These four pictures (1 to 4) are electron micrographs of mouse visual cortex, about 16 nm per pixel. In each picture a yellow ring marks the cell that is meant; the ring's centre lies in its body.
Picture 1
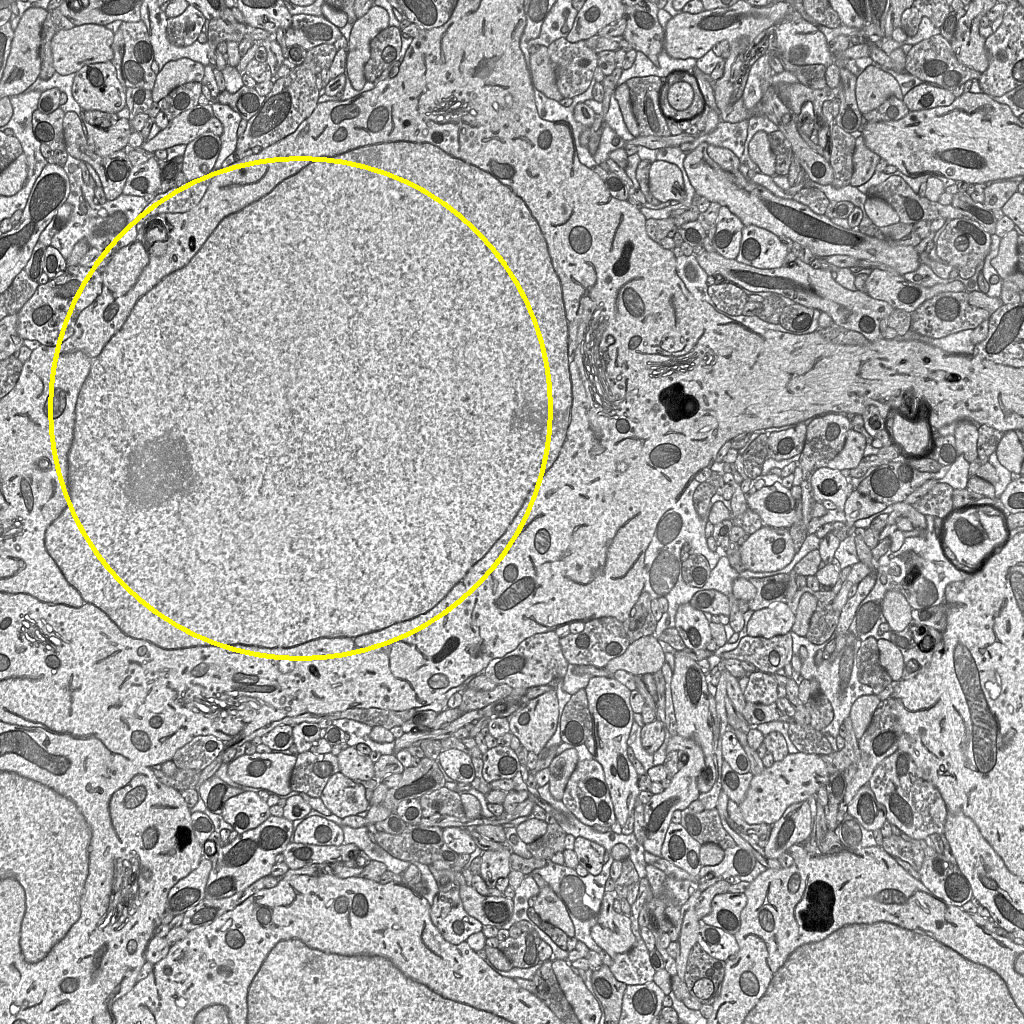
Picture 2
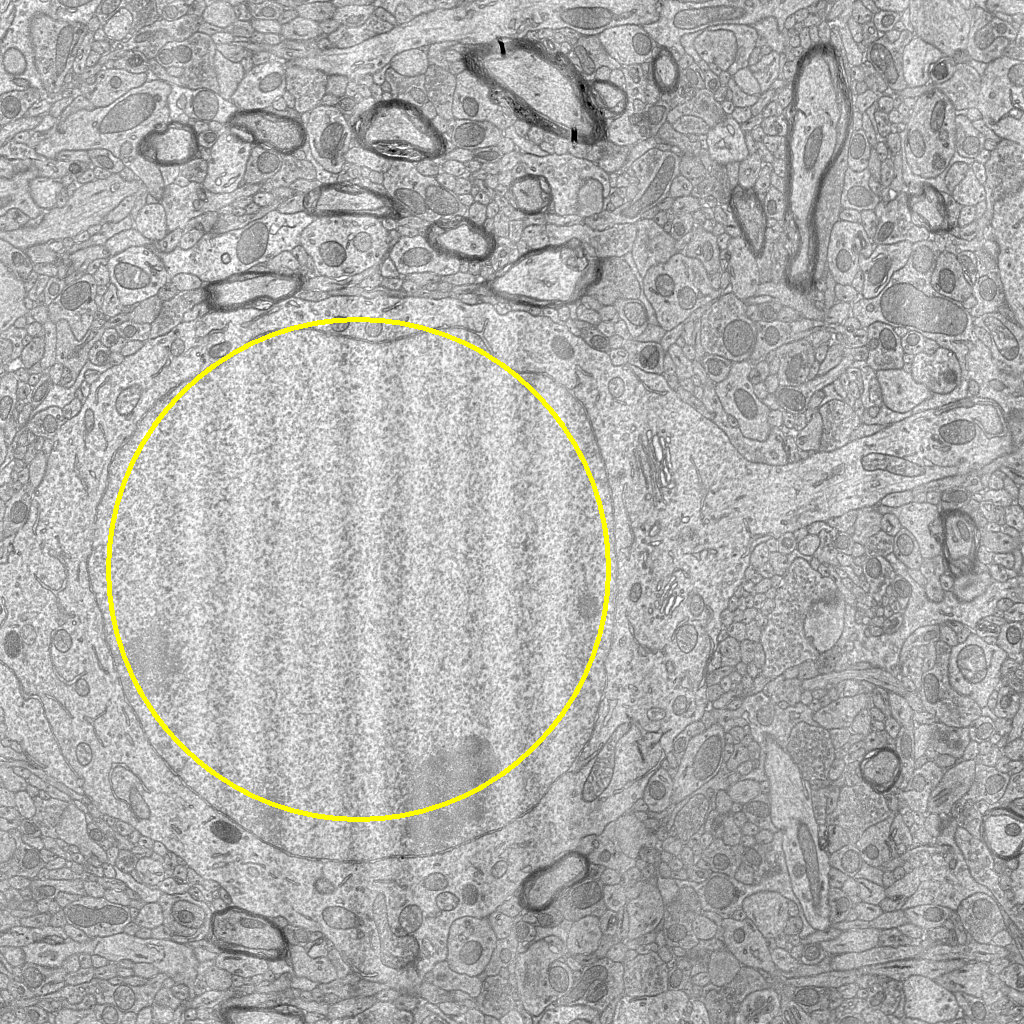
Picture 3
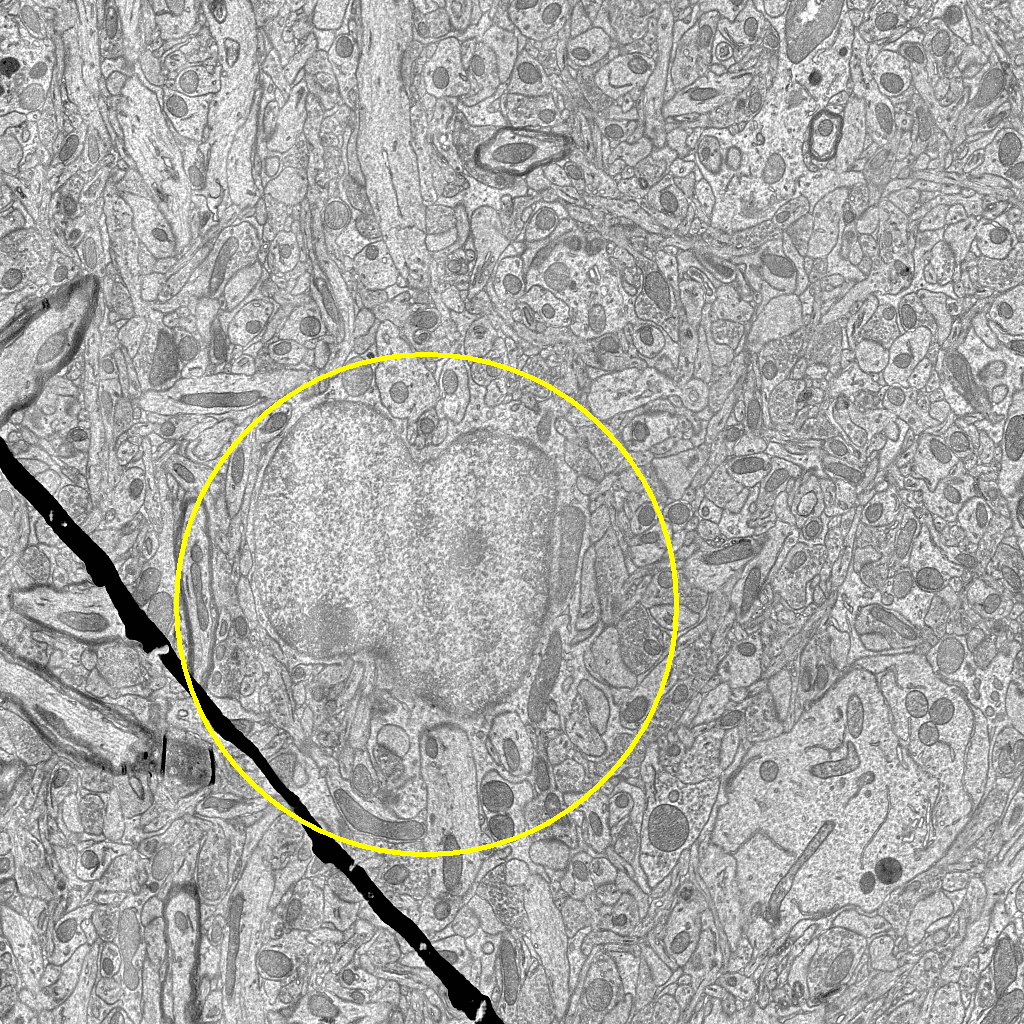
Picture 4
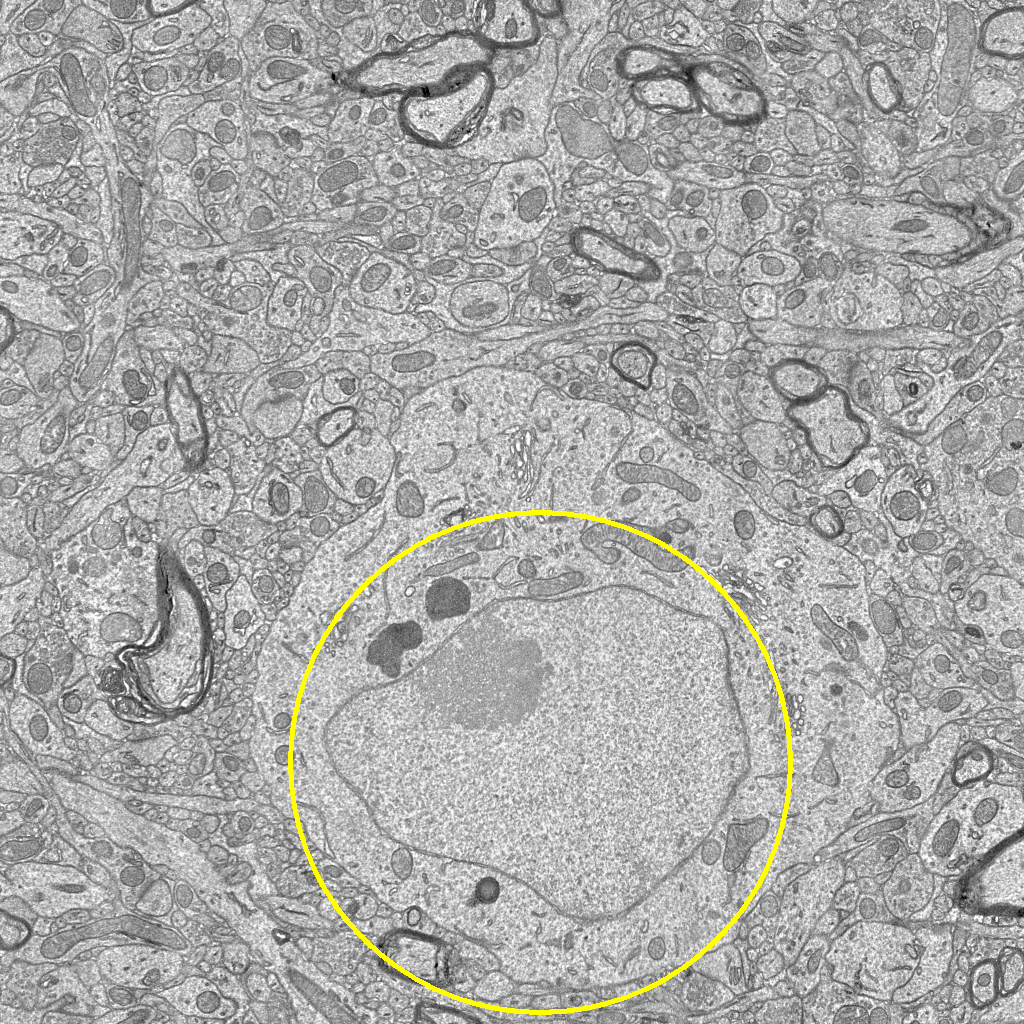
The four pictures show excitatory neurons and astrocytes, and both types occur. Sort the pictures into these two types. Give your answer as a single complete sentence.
Pictures 1, 2 and 4 show excitatory neurons, while picture 3 shows an astrocyte.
